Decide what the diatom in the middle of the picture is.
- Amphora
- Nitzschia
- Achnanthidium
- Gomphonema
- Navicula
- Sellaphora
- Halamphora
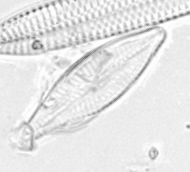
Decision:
Navicula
